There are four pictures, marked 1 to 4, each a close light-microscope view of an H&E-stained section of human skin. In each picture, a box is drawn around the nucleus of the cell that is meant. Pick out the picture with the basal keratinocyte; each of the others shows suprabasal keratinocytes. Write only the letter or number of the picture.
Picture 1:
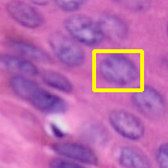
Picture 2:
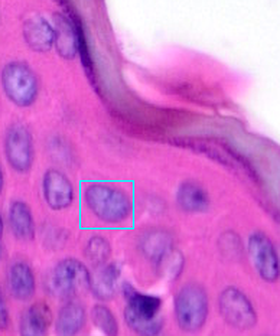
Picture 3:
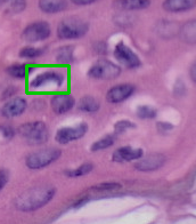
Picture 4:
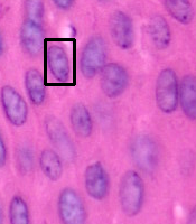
3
